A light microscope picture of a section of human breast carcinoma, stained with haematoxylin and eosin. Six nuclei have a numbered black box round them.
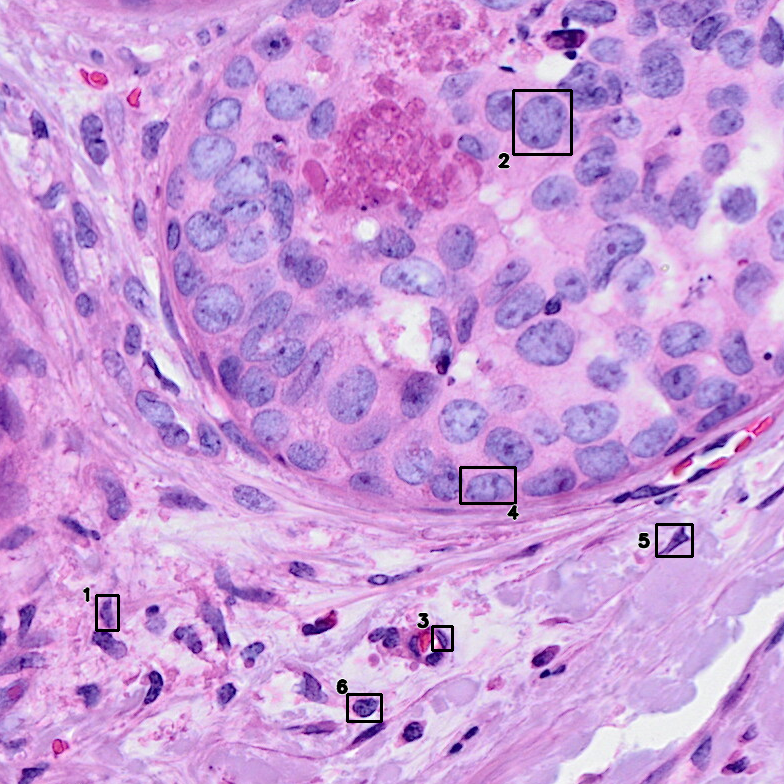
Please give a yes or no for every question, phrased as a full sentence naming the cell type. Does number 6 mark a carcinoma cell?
No, number 6 identifies a mast cell, not a carcinoma cell.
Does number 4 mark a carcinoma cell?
Yes, cell number 4 in this section is a carcinoma cell.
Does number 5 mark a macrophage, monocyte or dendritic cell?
No, the cell bearing number 5 is not a macrophage, monocyte or dendritic cell but a fibroblast.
